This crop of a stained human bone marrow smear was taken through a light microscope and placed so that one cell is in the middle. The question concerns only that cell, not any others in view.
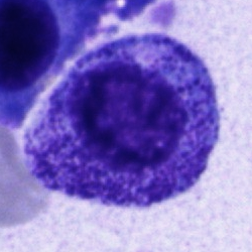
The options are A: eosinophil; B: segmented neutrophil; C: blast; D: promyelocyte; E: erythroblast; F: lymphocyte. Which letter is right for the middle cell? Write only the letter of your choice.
D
